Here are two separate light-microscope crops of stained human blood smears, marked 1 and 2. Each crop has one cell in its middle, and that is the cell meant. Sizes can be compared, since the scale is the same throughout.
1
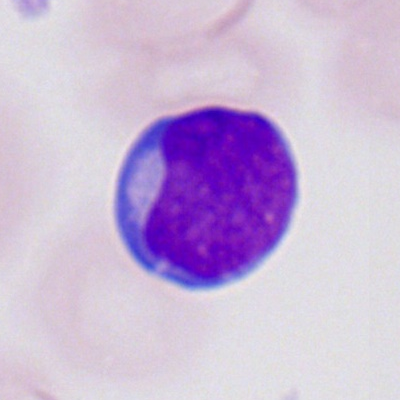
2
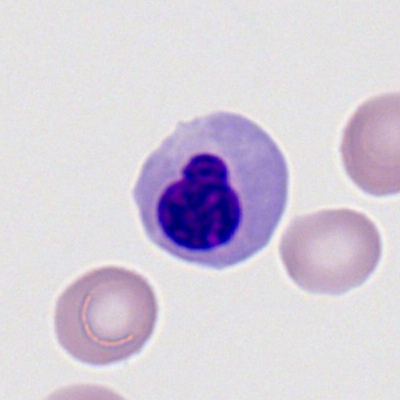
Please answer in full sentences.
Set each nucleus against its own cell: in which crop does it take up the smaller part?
In crop 2 the nucleus takes up the smaller part of its cell.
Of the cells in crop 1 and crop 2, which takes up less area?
Crop 2 holds the smaller cell, since the cell in crop 1 covers about 1.5 times as much area.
